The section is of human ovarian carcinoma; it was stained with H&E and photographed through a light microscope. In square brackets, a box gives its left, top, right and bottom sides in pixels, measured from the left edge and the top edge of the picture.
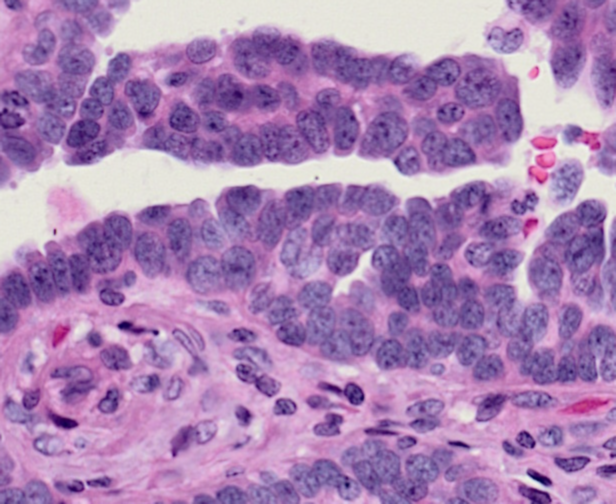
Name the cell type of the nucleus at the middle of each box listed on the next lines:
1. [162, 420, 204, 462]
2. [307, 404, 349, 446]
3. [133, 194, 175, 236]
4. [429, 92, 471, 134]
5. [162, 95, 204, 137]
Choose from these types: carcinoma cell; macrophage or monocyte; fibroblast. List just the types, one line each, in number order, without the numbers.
fibroblast
macrophage or monocyte
carcinoma cell
macrophage or monocyte
carcinoma cell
